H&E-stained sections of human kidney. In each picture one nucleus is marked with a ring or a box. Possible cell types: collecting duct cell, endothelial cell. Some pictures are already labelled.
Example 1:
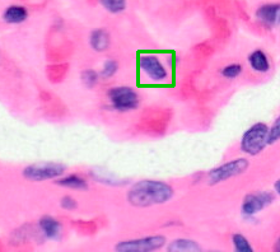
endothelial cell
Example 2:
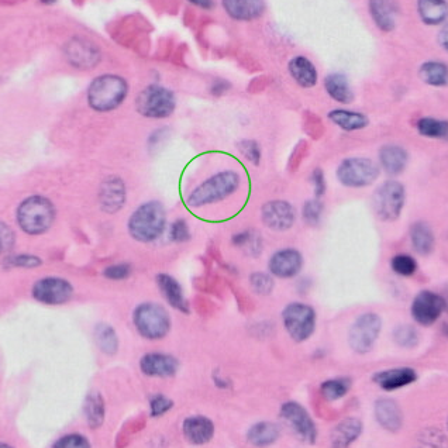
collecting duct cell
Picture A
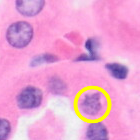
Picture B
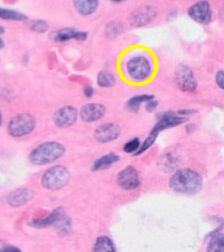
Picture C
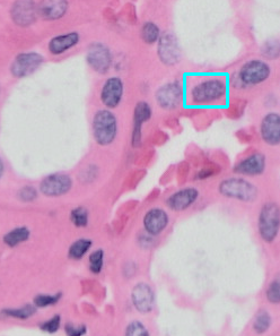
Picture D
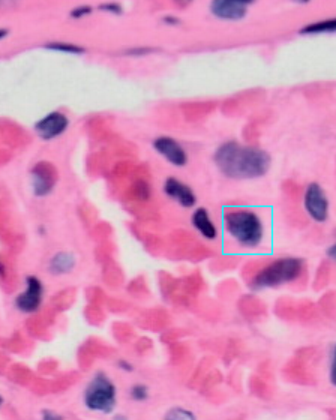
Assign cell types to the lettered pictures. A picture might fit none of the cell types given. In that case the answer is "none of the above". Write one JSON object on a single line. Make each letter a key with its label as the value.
{"A": "none of the above", "B": "none of the above", "C": "collecting duct cell", "D": "endothelial cell"}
